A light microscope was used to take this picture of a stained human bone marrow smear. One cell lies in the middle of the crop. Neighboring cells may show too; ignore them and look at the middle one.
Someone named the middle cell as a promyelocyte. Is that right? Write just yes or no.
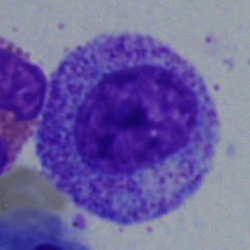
no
